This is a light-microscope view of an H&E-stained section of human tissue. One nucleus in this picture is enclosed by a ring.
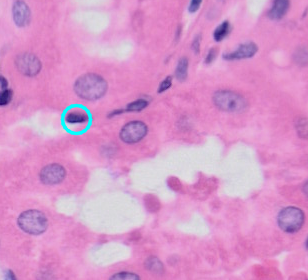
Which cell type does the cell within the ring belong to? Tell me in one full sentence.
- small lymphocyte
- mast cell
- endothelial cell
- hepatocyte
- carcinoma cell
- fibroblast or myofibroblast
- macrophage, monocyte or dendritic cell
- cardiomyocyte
The cell type of the cell within the ring is that of an endothelial cell.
